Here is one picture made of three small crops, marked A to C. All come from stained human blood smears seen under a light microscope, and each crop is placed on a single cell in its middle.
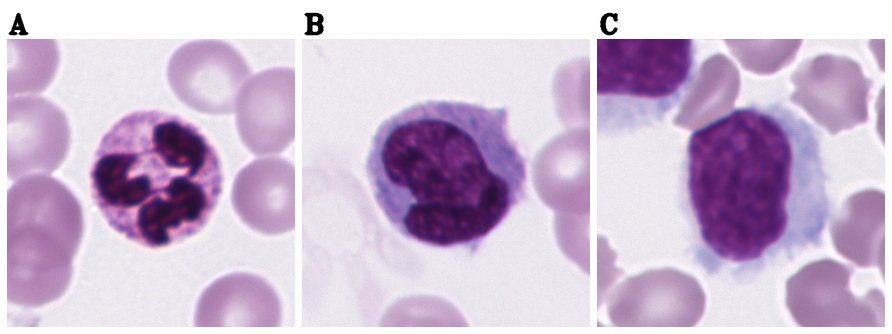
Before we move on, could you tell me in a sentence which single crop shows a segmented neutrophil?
The crop that has a segmented neutrophil in the middle is crop A.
